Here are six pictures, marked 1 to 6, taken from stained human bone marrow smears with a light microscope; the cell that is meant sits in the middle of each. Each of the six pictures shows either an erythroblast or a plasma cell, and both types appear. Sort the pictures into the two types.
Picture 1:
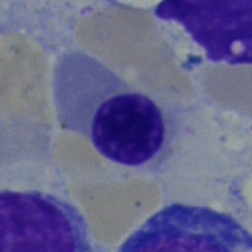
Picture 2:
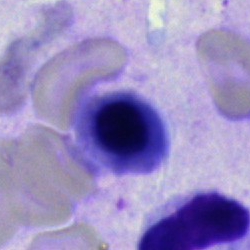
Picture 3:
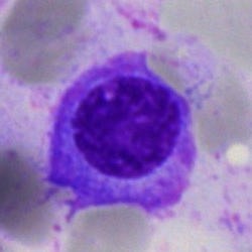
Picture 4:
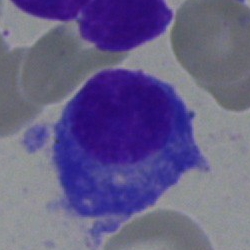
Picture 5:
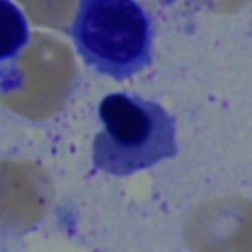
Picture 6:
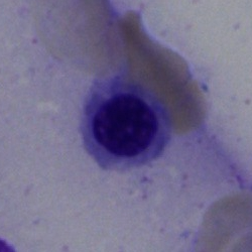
1: erythroblast
2: erythroblast
3: plasma cell
4: plasma cell
5: erythroblast
6: erythroblast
